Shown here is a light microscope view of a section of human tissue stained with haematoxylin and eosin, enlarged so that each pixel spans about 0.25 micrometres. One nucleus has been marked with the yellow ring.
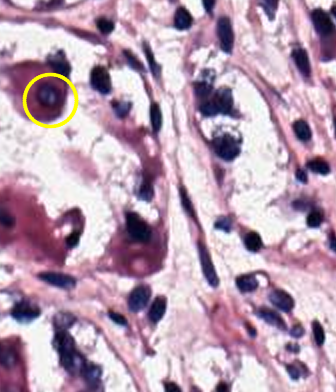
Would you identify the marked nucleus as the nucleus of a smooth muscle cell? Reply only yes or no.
no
